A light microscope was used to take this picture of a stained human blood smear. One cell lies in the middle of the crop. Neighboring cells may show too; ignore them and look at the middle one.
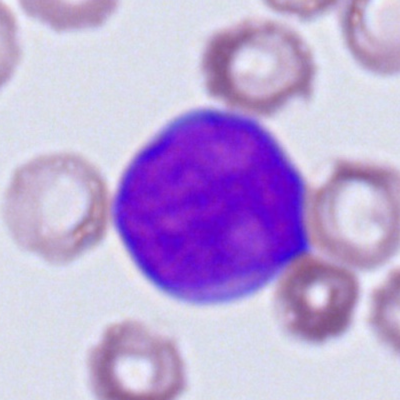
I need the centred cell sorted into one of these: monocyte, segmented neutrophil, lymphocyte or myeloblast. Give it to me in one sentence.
In the middle of this smear crop, the cell is a myeloblast.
